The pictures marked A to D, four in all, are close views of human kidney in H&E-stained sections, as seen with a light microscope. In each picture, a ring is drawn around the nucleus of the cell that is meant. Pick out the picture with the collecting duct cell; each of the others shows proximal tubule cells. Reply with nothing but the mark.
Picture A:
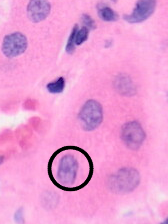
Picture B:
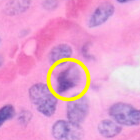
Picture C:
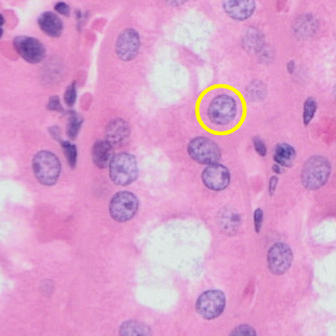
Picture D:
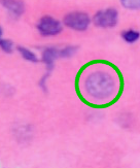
B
